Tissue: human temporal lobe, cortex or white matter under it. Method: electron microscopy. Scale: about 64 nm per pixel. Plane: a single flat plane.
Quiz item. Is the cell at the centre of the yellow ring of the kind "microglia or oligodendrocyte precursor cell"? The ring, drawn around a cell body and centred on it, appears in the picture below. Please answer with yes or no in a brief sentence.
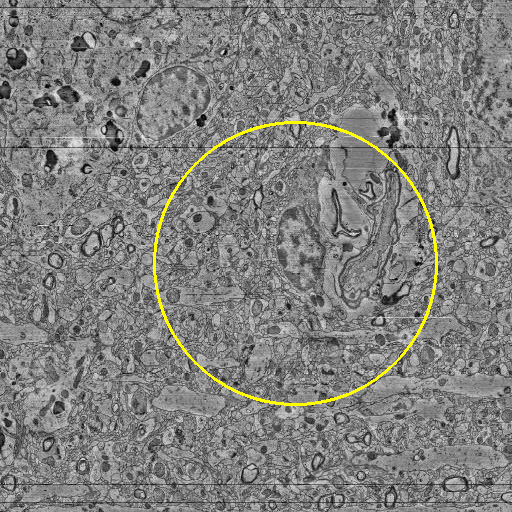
No, it is another kind of cell.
